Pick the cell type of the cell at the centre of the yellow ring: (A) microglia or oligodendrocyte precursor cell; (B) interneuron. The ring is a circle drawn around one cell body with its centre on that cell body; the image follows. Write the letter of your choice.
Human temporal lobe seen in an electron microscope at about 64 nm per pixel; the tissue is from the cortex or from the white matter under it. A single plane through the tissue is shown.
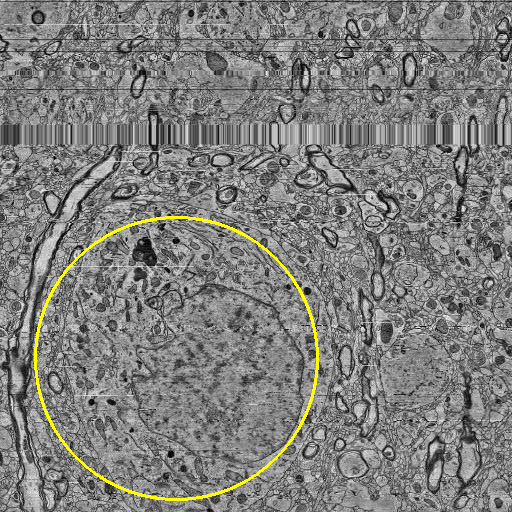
B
